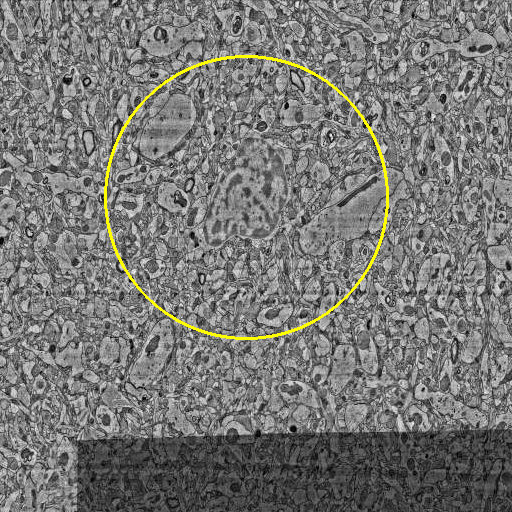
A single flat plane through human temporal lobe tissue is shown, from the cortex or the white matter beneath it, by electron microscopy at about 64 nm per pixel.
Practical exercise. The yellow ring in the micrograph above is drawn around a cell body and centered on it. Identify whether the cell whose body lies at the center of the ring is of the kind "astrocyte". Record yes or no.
no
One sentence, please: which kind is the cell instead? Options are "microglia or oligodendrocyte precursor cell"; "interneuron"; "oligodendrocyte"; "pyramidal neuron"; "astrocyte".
The cell at the ring centre is a microglial cell or oligodendrocyte precursor cell.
